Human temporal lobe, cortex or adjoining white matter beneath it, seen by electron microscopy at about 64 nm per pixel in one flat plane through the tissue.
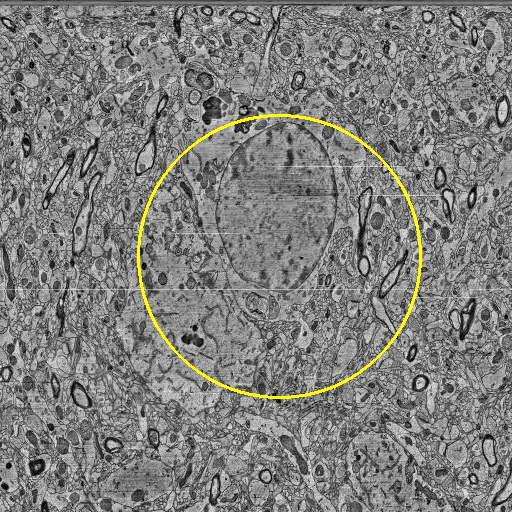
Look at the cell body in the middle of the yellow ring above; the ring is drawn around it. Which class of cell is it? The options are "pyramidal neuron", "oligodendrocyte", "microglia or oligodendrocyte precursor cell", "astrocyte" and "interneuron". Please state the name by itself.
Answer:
astrocyte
